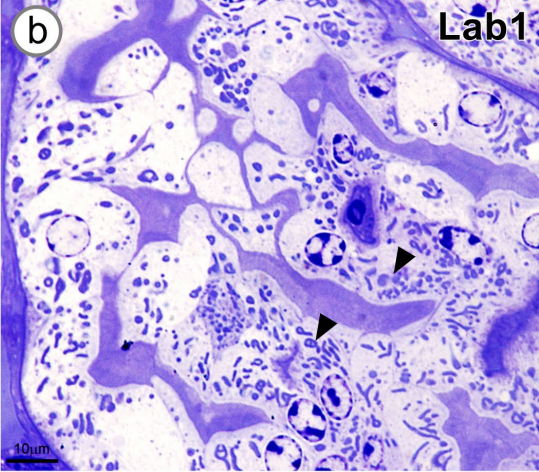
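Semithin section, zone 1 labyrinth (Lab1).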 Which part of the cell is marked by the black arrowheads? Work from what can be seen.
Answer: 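Mitochondria. The arrowheads point to small dark rod- and dot-shaped bodies in the cytoplasm. Such bodies are scattered in large numbers through the cells.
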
